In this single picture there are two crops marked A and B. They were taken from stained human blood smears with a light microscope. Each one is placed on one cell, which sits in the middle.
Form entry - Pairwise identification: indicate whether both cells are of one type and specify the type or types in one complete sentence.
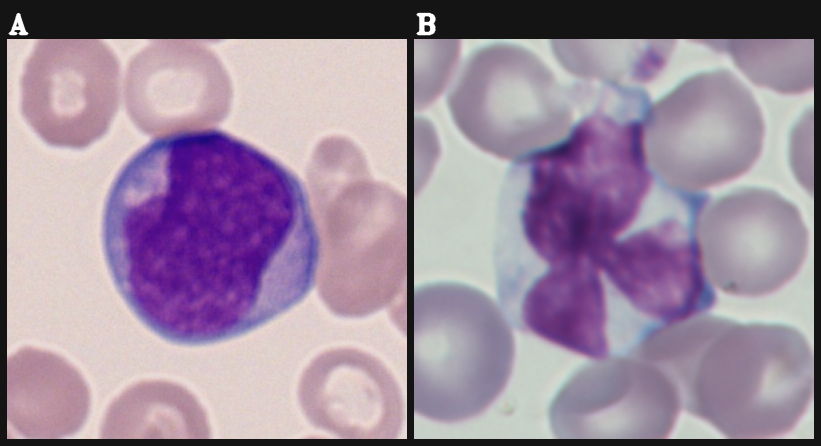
Yes, both crops show blasts as their central cells.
